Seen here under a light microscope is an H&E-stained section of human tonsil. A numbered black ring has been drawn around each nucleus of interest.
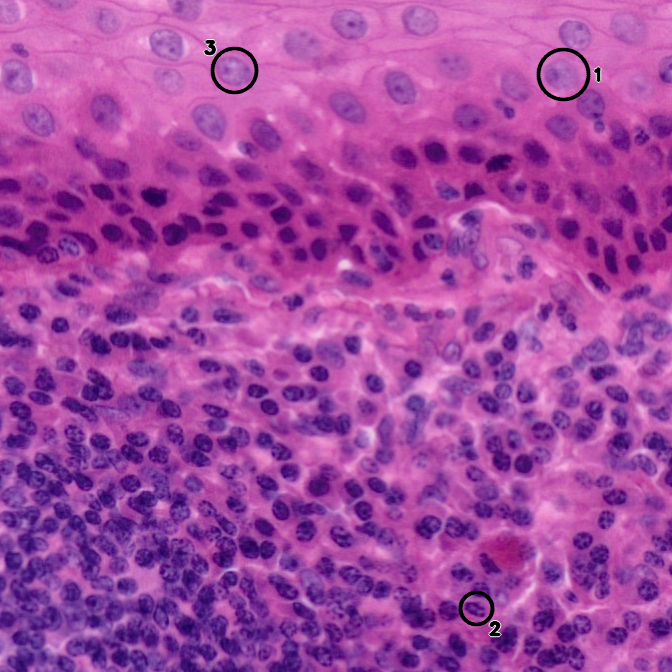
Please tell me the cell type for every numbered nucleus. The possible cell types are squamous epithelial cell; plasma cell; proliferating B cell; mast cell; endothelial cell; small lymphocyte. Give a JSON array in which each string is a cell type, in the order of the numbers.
["squamous epithelial cell", "plasma cell", "squamous epithelial cell"]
